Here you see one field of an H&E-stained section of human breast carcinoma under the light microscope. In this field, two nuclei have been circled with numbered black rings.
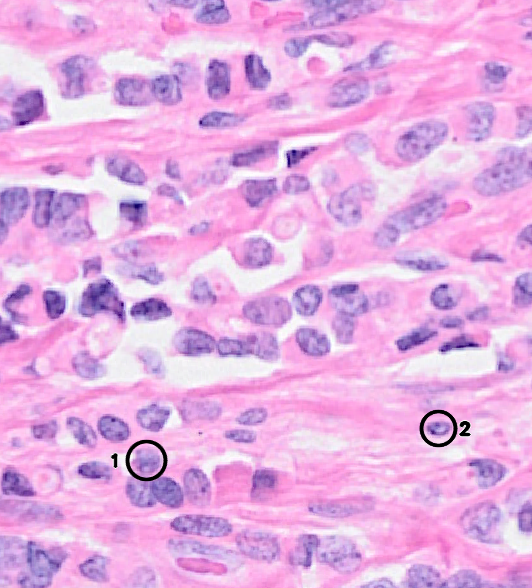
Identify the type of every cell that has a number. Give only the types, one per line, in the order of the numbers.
carcinoma cell
endothelial cell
